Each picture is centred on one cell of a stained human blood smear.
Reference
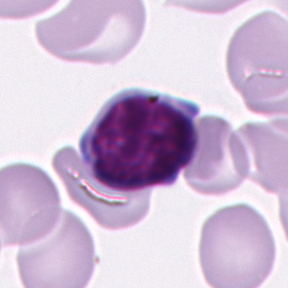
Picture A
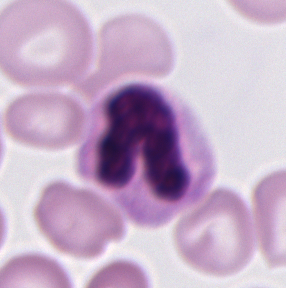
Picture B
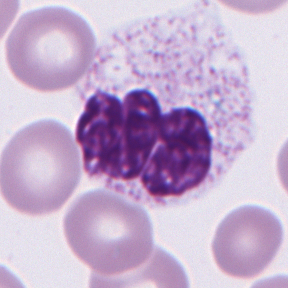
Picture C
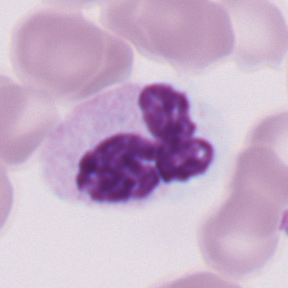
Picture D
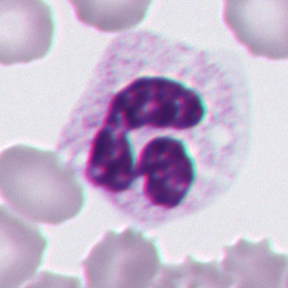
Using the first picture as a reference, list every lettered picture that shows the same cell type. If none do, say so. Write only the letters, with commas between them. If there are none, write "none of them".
none of them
